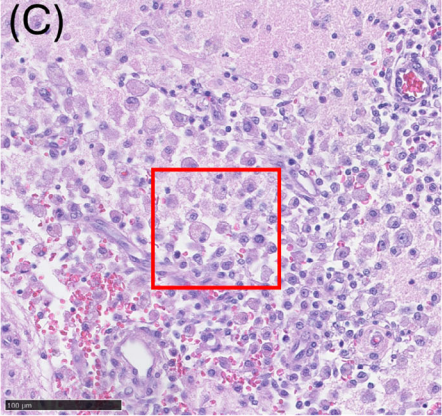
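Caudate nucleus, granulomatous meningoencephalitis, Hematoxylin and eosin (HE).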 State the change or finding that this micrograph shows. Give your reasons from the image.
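The neuropil is replaced by sheets of loosely arranged rounded cells with foamy cytoplasm. There are scattered extravasated red blood cells. That points to this answer: Malacia.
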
